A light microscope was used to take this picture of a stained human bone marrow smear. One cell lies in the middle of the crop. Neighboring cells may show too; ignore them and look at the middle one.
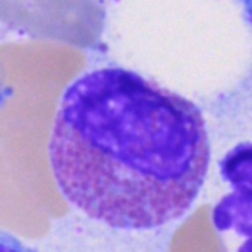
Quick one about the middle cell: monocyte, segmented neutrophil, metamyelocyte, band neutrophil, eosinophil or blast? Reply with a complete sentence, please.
The cell centered in this field of view is an eosinophil.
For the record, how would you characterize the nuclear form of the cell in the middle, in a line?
A single compact nucleus, round, oval or kidney-shaped, is what this cell shows.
